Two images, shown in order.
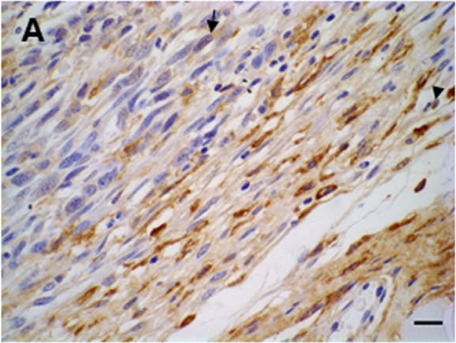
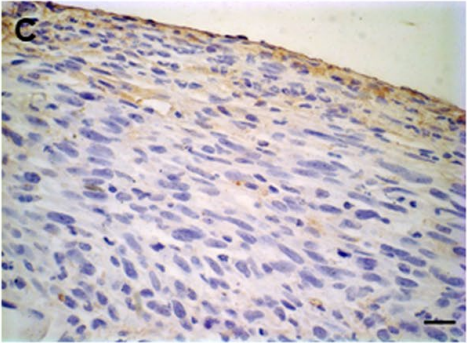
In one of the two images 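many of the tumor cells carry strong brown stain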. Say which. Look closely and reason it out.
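The first image. Second image: the spindle cells show mostly blue nuclei with only faint brown, stronger only along the top edge.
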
